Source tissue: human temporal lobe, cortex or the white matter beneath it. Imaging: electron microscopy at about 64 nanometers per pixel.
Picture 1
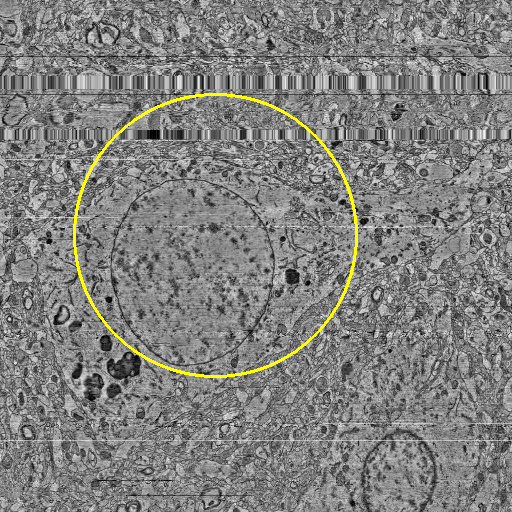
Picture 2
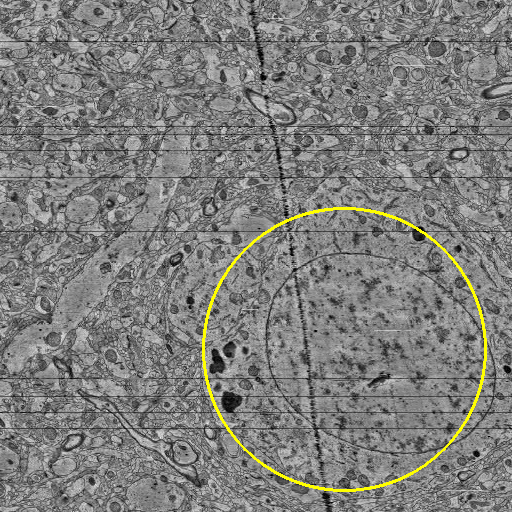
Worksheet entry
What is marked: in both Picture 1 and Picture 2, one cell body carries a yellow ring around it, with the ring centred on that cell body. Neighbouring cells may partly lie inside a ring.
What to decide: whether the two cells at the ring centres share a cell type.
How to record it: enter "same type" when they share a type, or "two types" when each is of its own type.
same type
